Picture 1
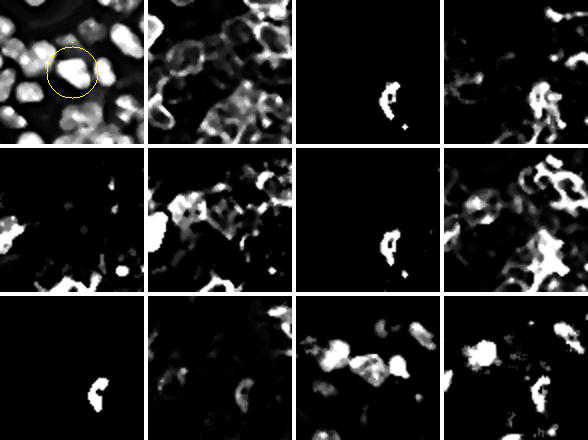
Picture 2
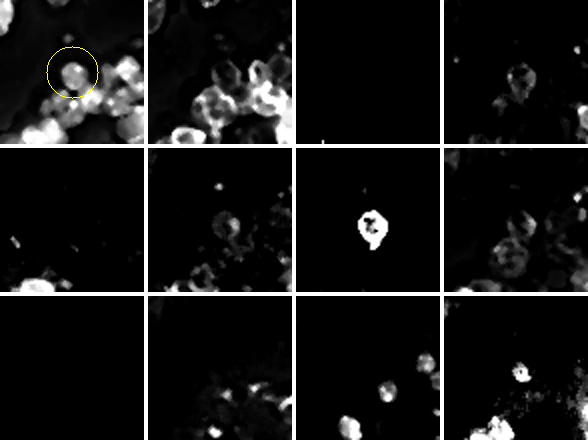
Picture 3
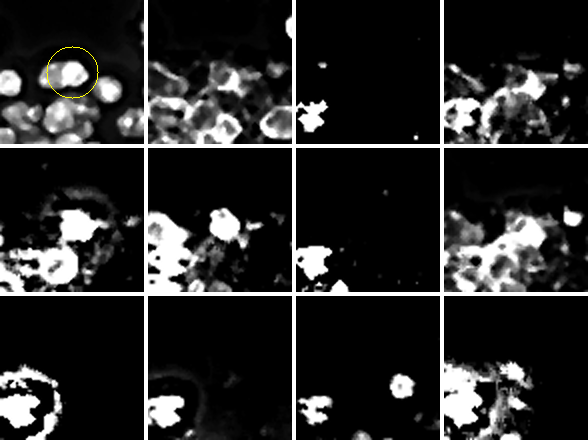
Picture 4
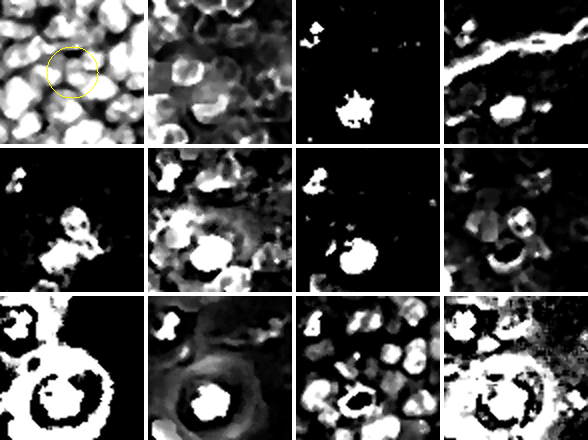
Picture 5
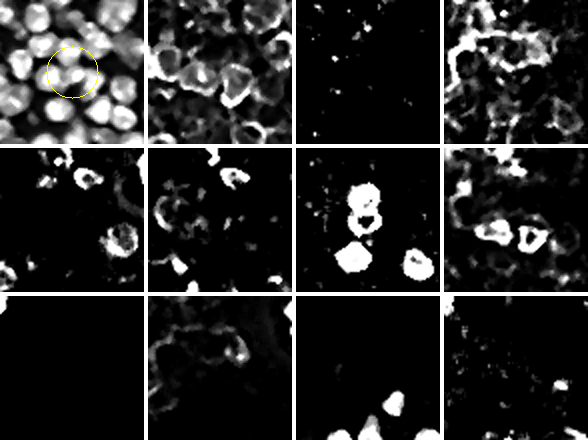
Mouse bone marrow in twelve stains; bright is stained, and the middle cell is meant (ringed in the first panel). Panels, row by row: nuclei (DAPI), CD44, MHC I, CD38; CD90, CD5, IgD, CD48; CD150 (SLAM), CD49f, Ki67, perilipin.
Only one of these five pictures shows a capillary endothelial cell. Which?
Picture 5.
